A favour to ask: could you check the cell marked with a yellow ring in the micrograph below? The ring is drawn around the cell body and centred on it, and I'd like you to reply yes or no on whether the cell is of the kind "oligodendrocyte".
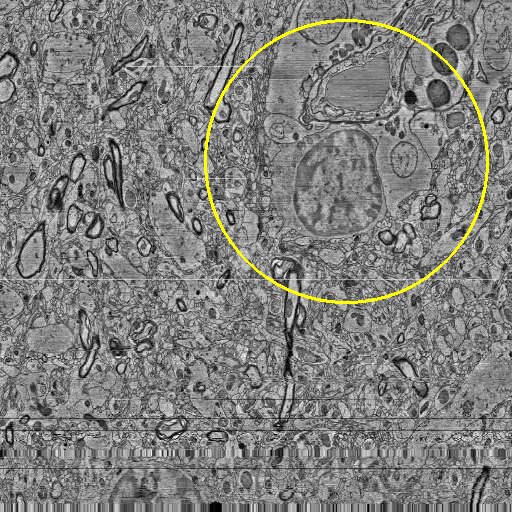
yes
